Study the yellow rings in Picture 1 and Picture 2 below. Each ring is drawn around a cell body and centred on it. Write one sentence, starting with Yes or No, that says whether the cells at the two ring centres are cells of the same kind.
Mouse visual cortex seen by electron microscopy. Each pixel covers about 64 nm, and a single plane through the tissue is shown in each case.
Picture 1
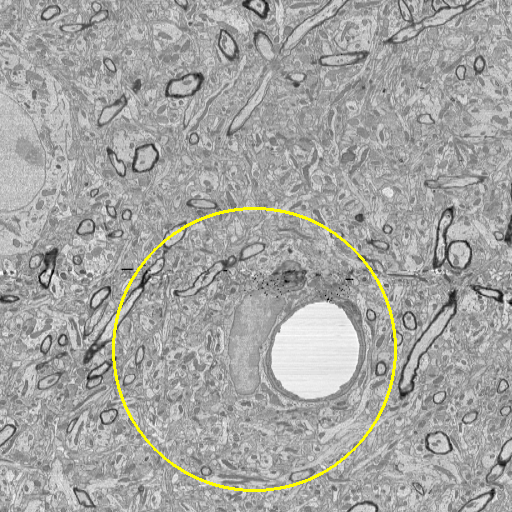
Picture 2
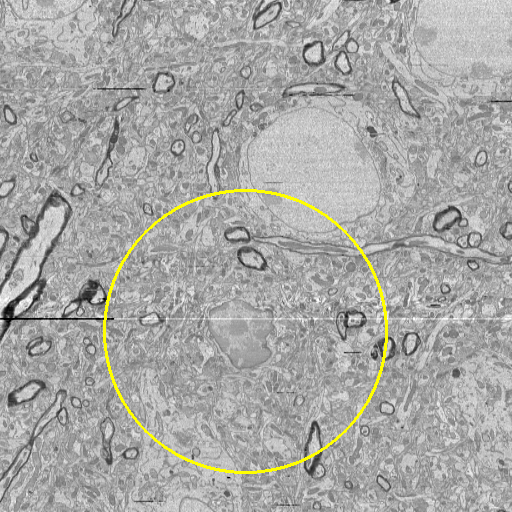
Yes, the cells at both ring centres are of the same kind.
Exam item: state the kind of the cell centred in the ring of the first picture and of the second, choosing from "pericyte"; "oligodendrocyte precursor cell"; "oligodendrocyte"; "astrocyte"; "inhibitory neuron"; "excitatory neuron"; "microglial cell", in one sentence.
Each of the ringed cells, first and second, is a microglial cell.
